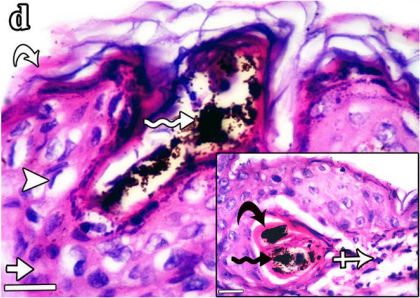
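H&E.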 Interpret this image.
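This is the upper opening of a hair follicle, lined by a thickened stratified epithelium whose cells have pink cytoplasm and round purple nuclei. On the surface lies a thick layered pink-purple keratin coat, and the follicle canal holds coarse black clumps of pigment mixed with pale material. A small inset shows a keratin-filled bleb containing black pigment clumps, with small dark cells gathered around the follicle.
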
